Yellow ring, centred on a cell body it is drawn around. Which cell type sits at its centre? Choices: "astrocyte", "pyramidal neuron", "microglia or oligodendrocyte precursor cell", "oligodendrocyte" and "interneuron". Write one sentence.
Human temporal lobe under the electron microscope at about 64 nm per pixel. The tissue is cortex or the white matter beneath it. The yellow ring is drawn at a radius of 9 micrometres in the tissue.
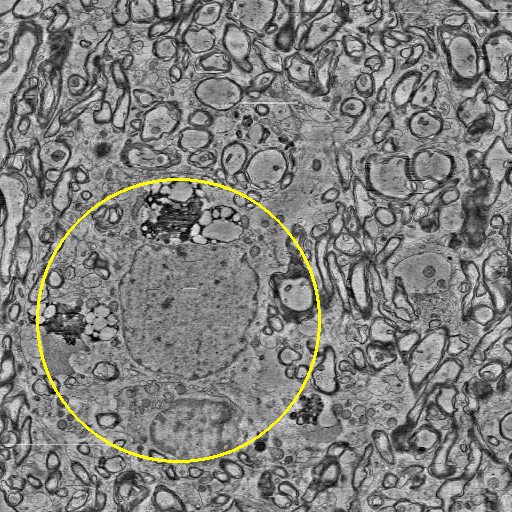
At the centre of the ring sits an astrocyte.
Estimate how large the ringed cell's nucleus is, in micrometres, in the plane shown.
The nucleus measures about 10 micrometers across in this plane.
